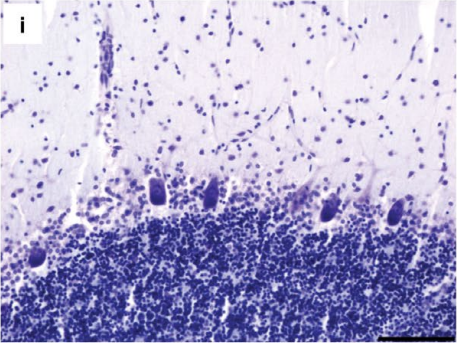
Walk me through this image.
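Cerebellar cortex with molecular layer, Purkinje cell layer and granular layer. The upper molecular layer is pale with sparse small scattered nuclei and a few thin vessels. Below lies the granular layer, a broad band of densely packed small round dark violet nuclei with little cytoplasm between them. The layers are sharply bounded and orderly.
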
